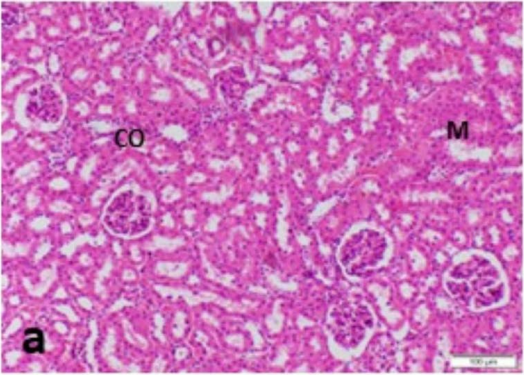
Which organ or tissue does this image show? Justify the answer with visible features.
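Round glomerular tufts surrounded by a clear space. Many tubules cut in cross and oblique section lined by pink epithelium. The answer: renal parenchyma.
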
